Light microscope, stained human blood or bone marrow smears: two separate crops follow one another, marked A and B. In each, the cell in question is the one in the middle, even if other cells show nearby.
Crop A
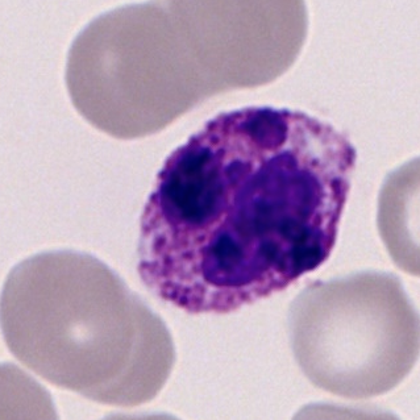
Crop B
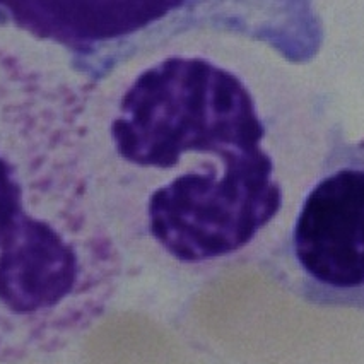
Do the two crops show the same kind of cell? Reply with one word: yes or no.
no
